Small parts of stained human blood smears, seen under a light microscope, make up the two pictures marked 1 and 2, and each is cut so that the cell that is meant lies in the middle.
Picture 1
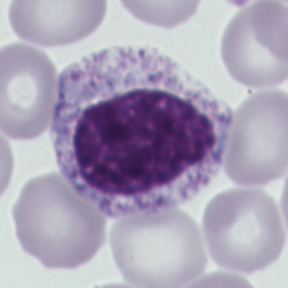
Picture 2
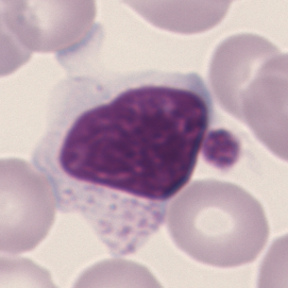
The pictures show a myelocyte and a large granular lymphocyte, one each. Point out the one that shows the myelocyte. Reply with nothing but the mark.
1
